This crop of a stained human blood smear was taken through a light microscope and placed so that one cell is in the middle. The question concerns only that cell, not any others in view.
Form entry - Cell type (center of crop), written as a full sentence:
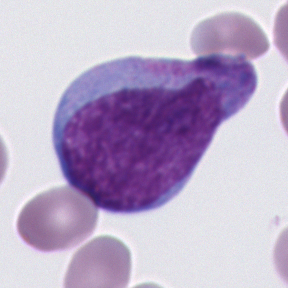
What the crop centres on is an atypical promyelocyte.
